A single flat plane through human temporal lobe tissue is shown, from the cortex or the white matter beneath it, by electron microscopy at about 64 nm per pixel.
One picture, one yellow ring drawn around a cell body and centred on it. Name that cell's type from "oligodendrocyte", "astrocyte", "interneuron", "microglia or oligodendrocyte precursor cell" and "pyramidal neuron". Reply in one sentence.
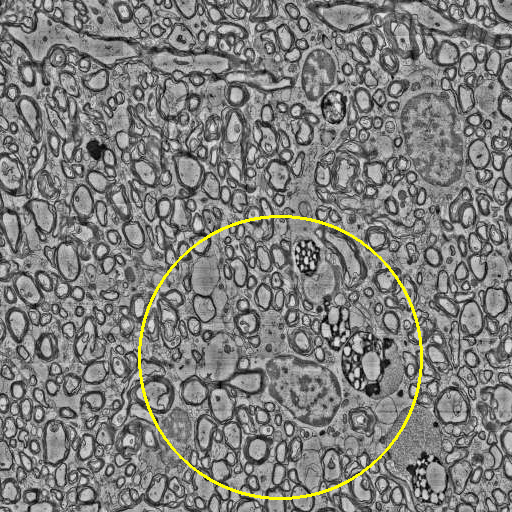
Centred in the ring is a microglial cell or oligodendrocyte precursor cell.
